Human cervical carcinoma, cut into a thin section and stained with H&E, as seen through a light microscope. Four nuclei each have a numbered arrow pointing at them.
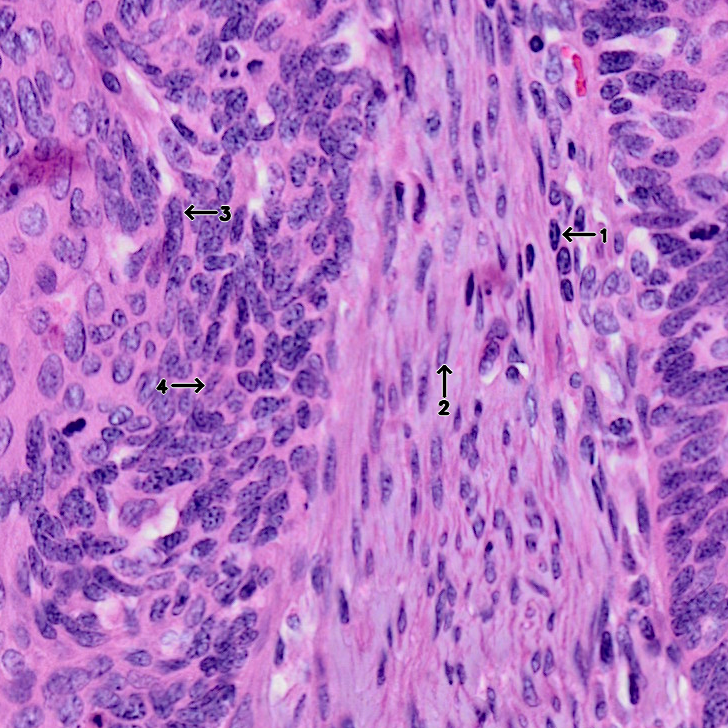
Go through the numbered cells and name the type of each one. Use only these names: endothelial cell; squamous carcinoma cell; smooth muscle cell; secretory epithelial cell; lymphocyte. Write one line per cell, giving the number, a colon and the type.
1: lymphocyte
2: smooth muscle cell
3: squamous carcinoma cell
4: squamous carcinoma cell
